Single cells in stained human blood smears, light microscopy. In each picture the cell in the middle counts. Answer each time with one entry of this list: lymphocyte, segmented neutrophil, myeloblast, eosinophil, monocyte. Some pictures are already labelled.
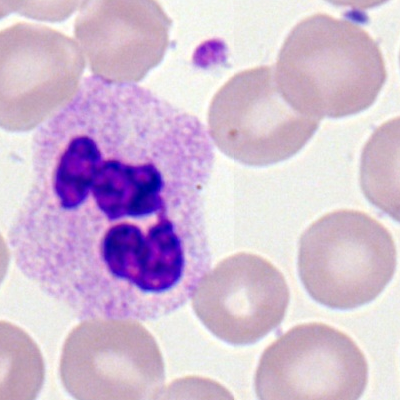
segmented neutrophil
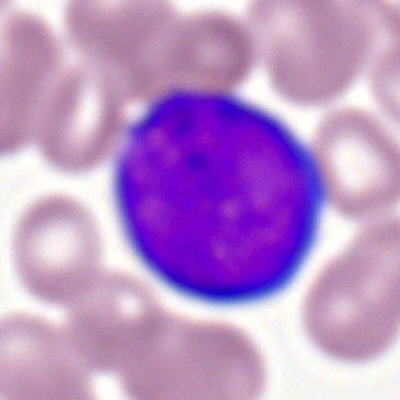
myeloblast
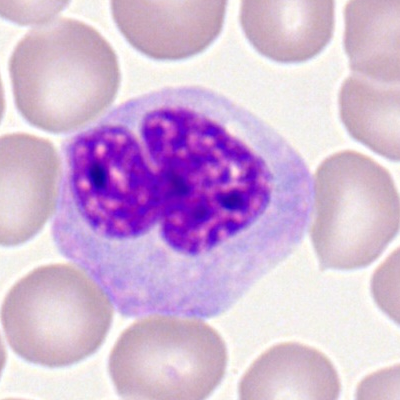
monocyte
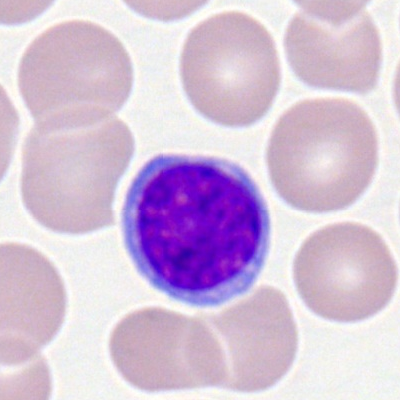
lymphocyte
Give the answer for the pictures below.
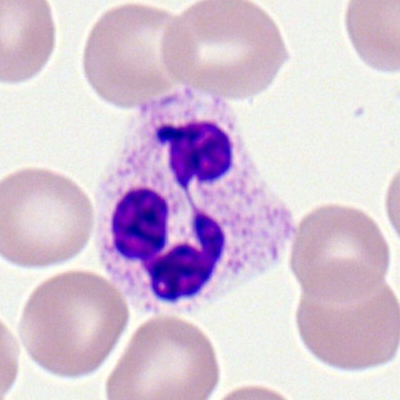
segmented neutrophil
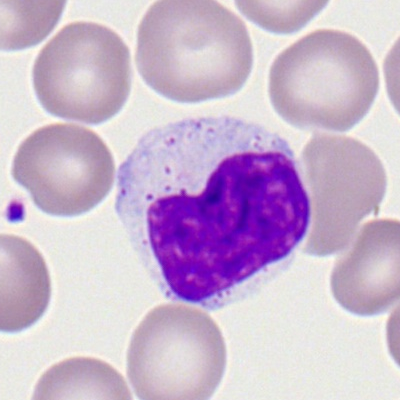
lymphocyte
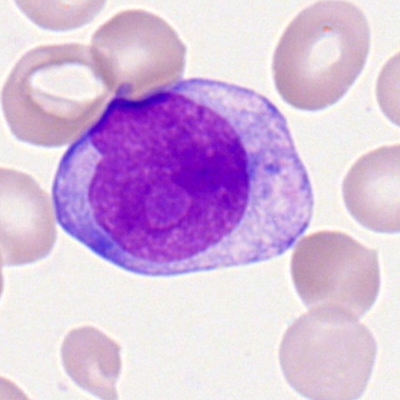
myeloblast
